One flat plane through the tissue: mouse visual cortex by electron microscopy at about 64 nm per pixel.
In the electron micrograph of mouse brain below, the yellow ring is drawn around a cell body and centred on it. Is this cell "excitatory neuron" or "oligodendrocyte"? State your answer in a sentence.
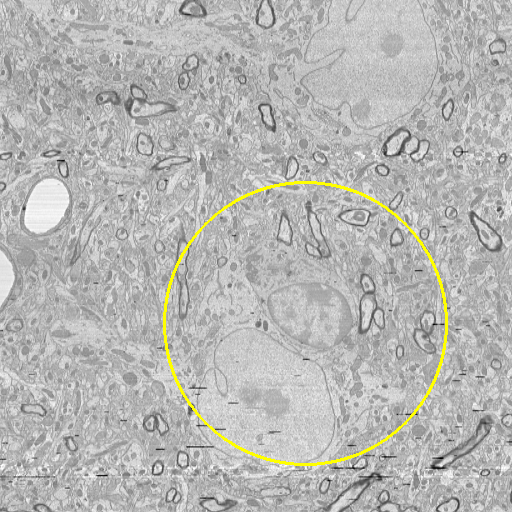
The cell in the middle of the ring is an oligodendrocyte.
